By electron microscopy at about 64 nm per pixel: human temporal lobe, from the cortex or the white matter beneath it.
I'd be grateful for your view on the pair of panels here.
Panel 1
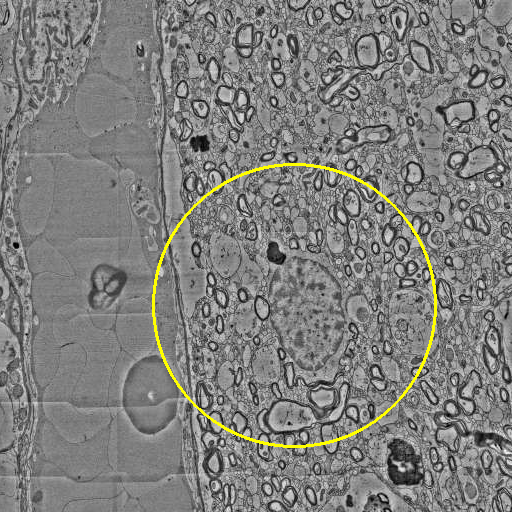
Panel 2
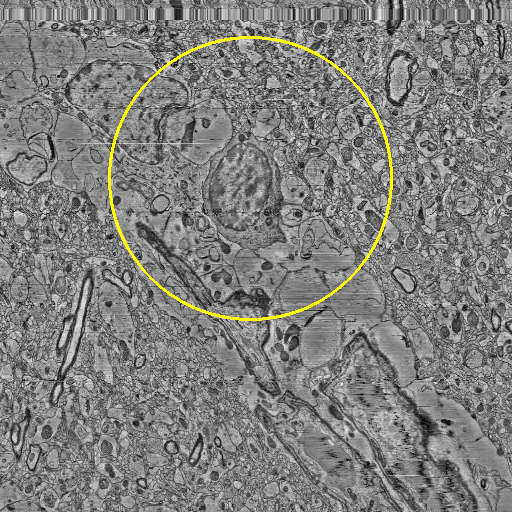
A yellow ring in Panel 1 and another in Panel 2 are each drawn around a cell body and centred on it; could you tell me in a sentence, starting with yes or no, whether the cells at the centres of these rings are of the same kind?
Yes, they are the same kind of cell.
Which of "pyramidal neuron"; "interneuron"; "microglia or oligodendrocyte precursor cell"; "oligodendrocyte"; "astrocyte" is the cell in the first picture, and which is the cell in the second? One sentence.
Each of the two rings is centred on an oligodendrocyte.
